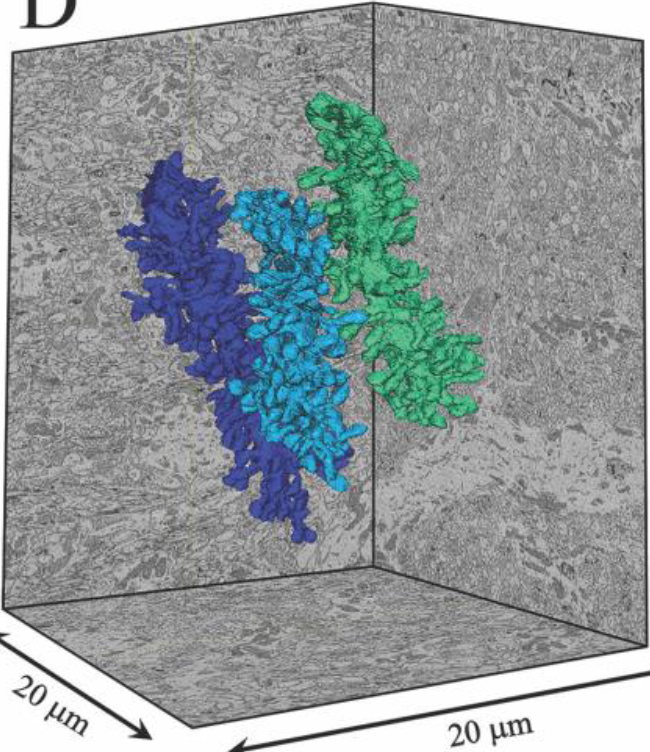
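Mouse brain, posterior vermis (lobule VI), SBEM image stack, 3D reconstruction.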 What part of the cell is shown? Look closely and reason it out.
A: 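Three coloured elongated structures run roughly vertically through the block. Each structure bears many short knobby protrusions along its length. The block faces show fine-grained electron microscopic neuropil. That points to this answer: dendritic branches.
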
